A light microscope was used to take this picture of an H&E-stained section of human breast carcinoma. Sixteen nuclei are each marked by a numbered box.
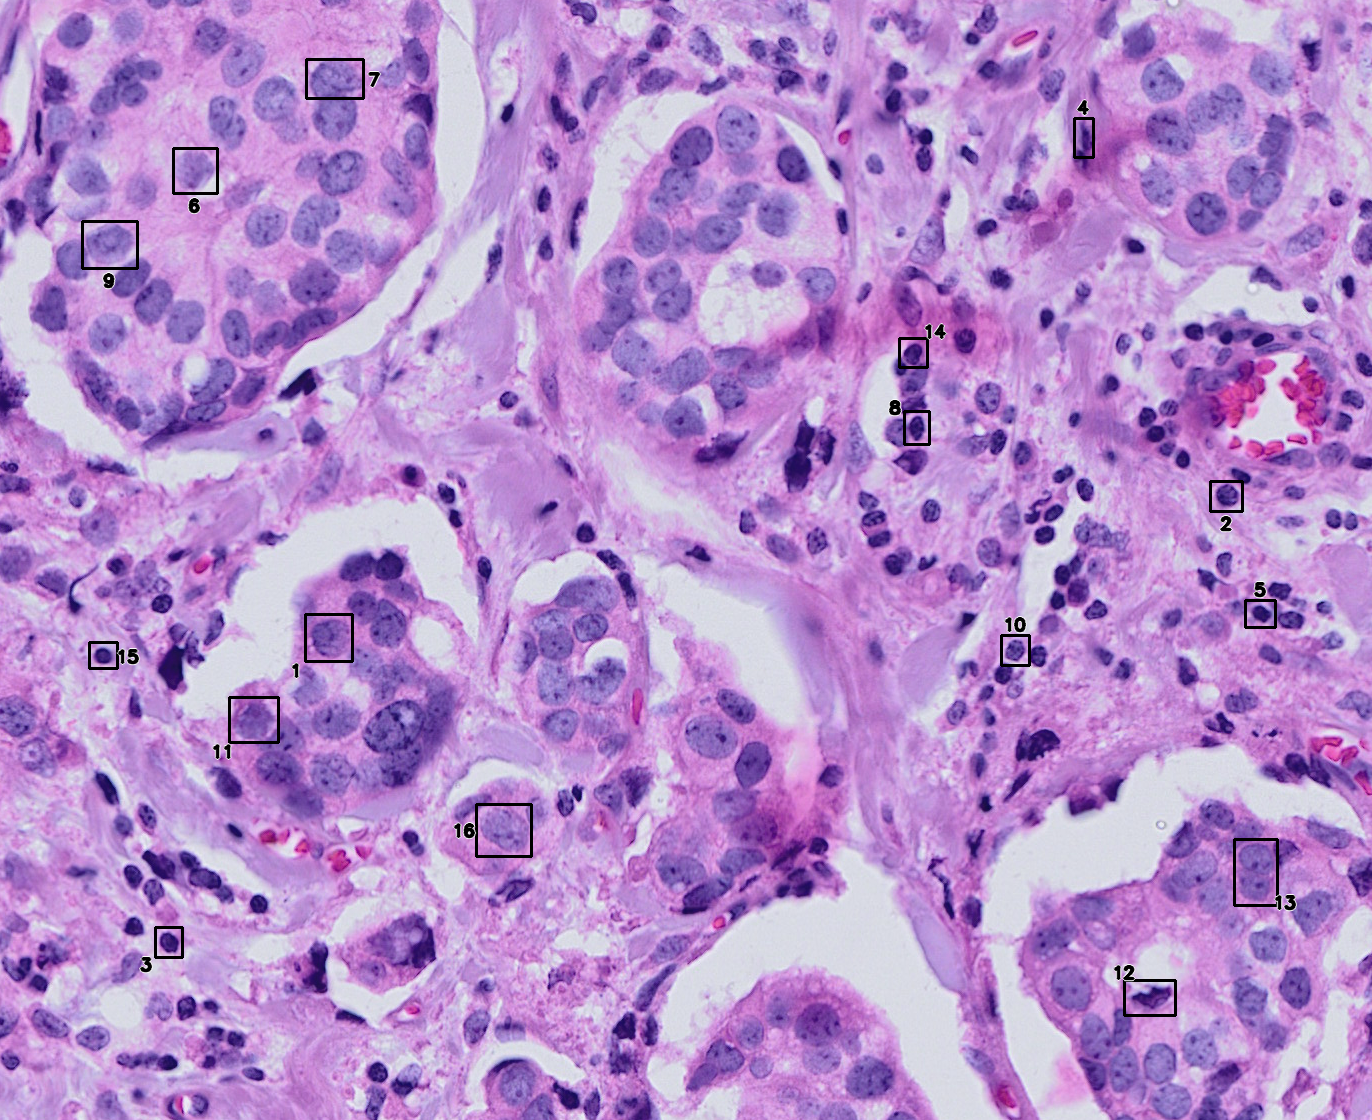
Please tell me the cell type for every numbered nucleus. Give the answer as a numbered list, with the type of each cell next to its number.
1. carcinoma cell
2. lymphocyte
3. lymphocyte
4. lymphocyte
5. lymphocyte
6. carcinoma cell
7. carcinoma cell
8. lymphocyte
9. carcinoma cell
10. lymphocyte
11. carcinoma cell
12. carcinoma cell
13. carcinoma cell
14. lymphocyte
15. lymphocyte
16. carcinoma cell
